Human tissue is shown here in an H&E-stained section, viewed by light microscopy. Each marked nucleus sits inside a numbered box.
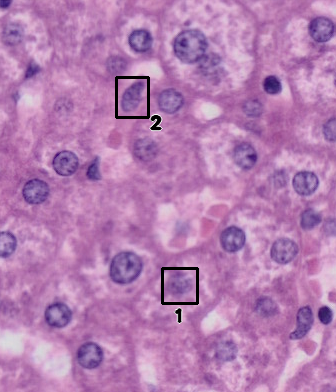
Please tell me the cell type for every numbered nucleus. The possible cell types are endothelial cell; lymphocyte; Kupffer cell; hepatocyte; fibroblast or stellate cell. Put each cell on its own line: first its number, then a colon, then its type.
1: hepatocyte
2: Kupffer cell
